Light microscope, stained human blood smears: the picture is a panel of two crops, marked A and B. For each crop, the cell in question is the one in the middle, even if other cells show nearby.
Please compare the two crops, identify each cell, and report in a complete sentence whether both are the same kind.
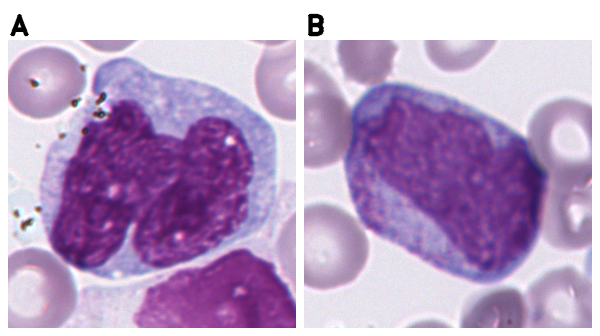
No, just to correct that: crop A shows a monocyte, crop B shows a promyelocyte.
